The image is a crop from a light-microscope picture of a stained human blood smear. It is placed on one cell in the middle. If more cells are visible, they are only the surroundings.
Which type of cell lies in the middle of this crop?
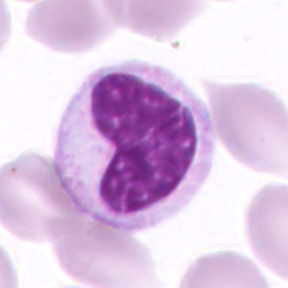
metamyelocyte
